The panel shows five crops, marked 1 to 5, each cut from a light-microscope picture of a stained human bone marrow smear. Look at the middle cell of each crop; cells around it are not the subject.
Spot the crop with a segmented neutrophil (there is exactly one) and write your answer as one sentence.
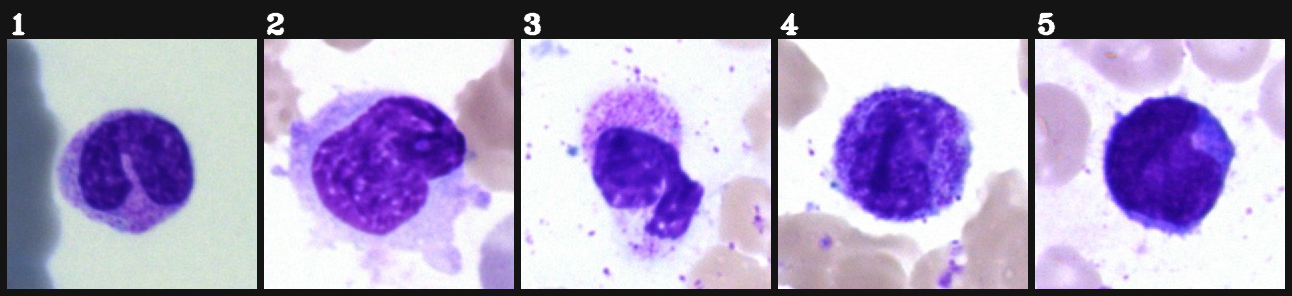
Of the cells presented, the one in crop 3 is a segmented neutrophil.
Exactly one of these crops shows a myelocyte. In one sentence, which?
Crop 4 is the one to choose: it shows a myelocyte.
